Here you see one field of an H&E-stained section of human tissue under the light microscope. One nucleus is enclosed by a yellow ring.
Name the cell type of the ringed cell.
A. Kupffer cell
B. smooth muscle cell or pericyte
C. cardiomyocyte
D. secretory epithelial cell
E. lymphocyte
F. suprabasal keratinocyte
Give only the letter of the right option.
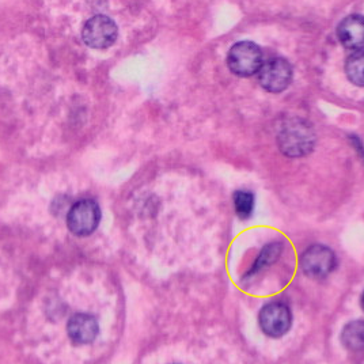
A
